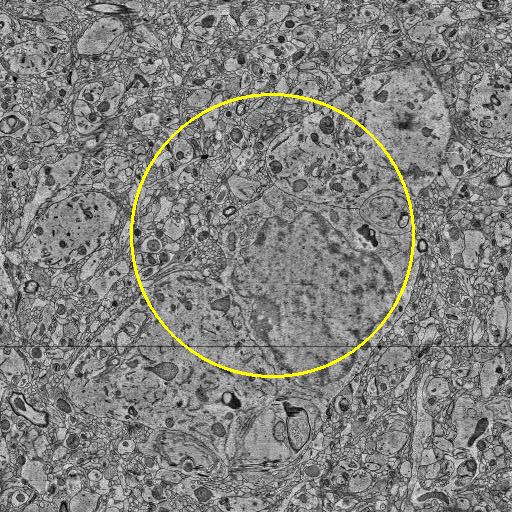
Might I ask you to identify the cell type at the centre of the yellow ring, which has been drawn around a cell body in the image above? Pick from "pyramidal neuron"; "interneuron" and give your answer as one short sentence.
The centre of the ring falls on an interneuron.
